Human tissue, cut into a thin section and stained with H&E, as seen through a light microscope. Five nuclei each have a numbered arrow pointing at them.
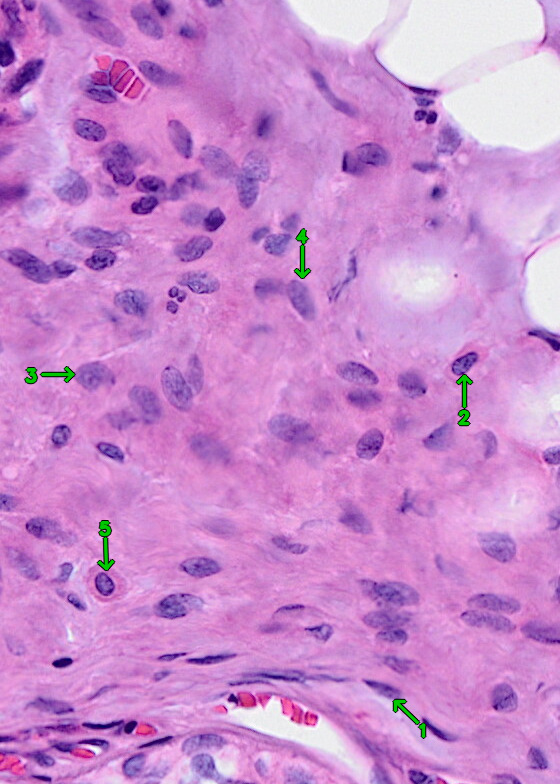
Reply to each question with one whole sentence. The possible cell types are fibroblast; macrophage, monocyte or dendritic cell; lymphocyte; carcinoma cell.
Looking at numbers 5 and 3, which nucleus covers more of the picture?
The larger nucleus is 3, at roughly 2 times the area of 5.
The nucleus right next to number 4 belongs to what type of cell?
Closest to number 4 lies the nucleus of a fibroblast.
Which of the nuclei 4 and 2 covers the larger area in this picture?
Of the two, number 4 is bigger and takes up about 2 times the area of number 2.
